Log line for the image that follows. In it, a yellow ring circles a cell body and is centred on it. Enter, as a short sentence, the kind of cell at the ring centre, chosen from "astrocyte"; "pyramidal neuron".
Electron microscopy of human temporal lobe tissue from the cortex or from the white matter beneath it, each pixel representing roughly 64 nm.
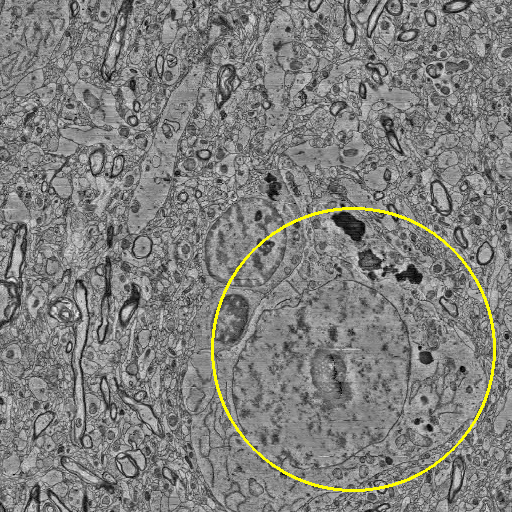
The ring centre is occupied by a pyramidal neuron.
